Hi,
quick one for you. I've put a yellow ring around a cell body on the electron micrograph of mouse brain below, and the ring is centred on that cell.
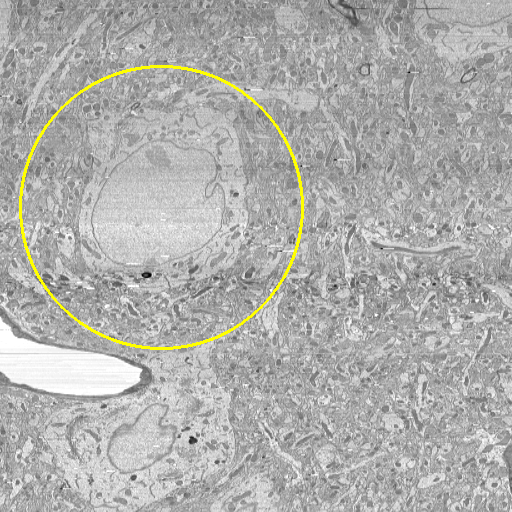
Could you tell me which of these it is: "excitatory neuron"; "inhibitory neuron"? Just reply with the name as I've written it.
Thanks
excitatory neuron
